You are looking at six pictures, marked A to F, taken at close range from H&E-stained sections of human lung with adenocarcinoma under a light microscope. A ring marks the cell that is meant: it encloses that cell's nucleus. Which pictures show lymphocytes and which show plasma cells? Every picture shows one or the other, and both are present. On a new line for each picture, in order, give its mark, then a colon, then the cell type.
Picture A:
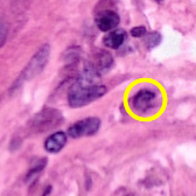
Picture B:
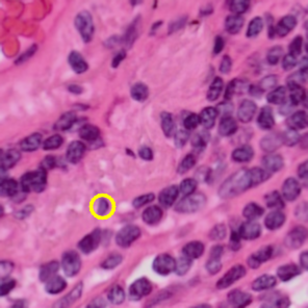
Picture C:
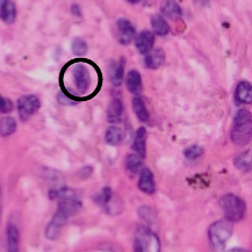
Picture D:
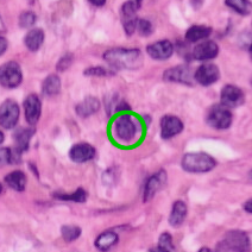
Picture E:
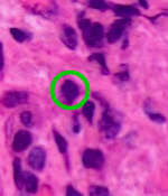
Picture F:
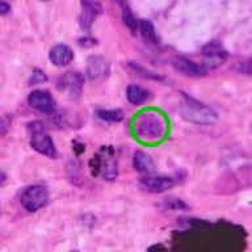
A: plasma cell
B: lymphocyte
C: lymphocyte
D: lymphocyte
E: plasma cell
F: plasma cell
